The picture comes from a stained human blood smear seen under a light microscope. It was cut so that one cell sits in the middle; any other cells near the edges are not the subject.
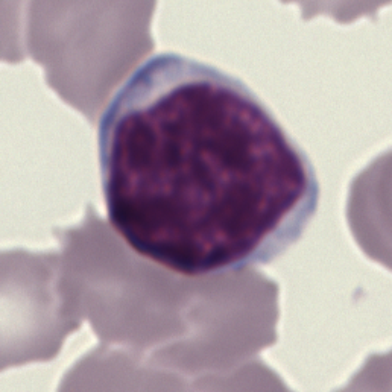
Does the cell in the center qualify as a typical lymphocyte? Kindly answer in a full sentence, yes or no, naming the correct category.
Yes, the cell found in the middle is a typical lymphocyte.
